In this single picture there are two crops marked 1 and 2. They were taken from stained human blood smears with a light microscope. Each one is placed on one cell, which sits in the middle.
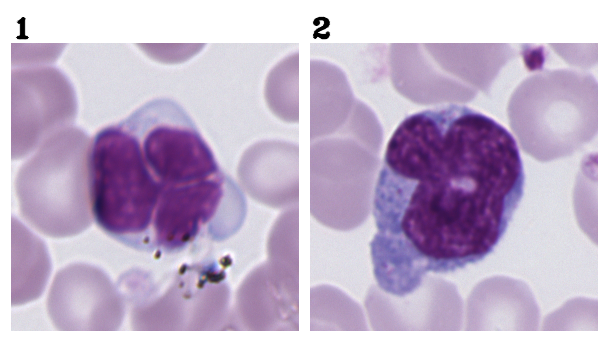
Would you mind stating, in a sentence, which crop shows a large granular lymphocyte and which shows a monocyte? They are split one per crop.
Displayed in crop 1 is a large granular lymphocyte, while crop 2 displays a monocyte.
